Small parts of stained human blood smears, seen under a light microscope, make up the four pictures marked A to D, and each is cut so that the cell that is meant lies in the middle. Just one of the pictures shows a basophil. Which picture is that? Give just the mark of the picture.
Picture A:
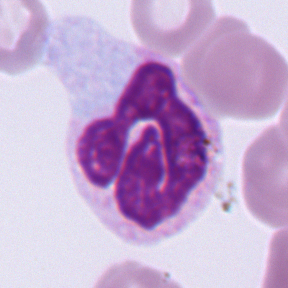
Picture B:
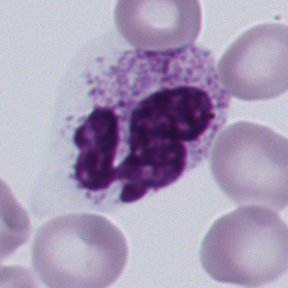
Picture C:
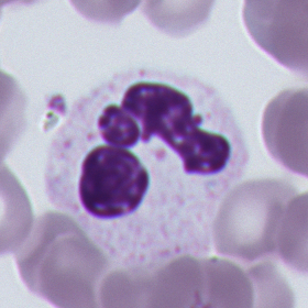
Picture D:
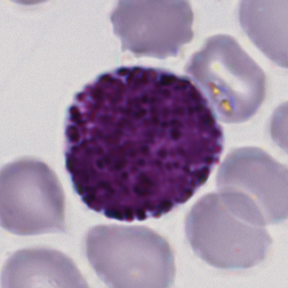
D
